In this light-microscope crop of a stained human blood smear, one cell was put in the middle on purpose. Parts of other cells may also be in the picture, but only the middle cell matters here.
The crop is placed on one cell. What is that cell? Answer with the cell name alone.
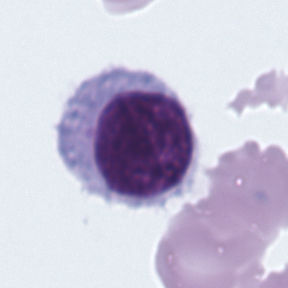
hairy cell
